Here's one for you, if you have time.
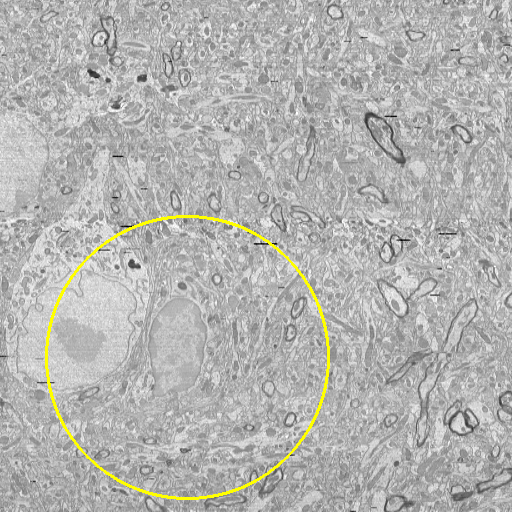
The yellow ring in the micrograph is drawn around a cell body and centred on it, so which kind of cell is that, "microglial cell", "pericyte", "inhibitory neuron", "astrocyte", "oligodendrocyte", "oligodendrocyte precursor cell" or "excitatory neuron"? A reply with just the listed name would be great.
microglial cell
